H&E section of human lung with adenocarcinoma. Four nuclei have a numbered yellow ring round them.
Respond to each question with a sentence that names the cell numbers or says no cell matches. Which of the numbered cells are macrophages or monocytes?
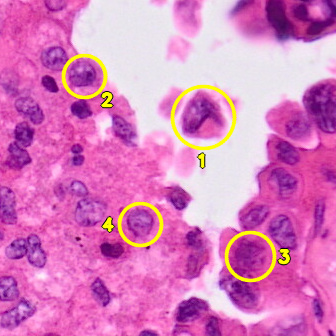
The cells numbered 2 and 4 are, by type, macrophages or monocytes.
